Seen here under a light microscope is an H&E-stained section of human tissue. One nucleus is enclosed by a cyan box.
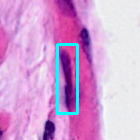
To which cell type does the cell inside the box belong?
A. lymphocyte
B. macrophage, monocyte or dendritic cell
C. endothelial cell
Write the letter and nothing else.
C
